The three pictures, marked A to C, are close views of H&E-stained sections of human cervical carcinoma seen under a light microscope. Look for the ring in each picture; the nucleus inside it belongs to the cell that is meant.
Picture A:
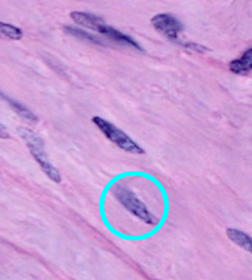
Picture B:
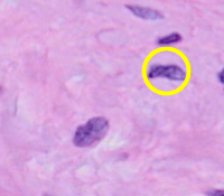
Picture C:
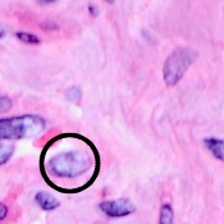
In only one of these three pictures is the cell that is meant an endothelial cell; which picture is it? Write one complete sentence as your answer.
The endothelial cell is the one in picture C.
